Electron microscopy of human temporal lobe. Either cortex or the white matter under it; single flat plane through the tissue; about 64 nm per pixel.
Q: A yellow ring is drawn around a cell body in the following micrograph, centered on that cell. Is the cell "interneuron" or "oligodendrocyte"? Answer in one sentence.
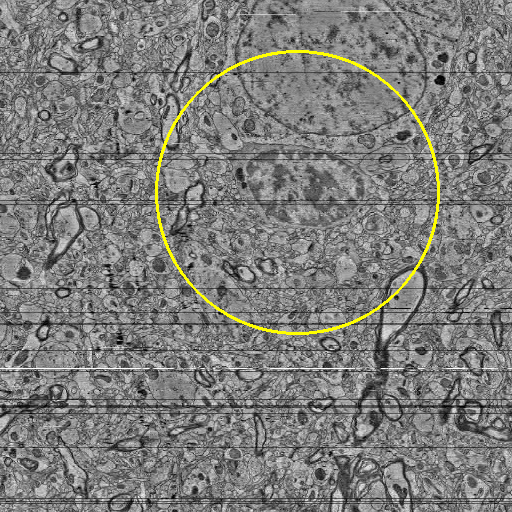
The cell in the center of the ring is an oligodendrocyte.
